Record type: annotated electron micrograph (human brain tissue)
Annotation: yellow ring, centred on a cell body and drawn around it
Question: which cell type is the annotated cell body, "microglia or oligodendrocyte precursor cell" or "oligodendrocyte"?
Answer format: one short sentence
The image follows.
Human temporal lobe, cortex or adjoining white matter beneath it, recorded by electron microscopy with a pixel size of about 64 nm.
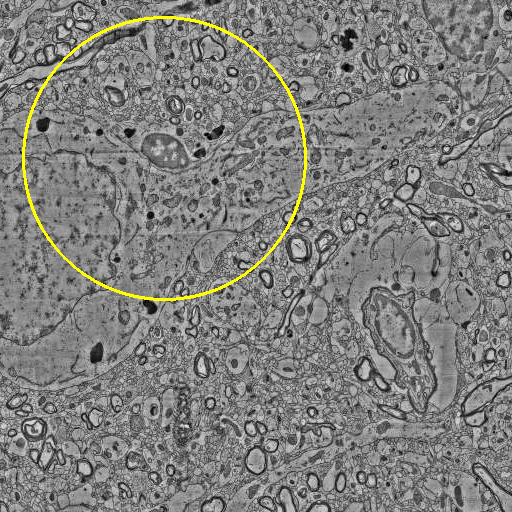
The annotated cell body is that of a microglial cell or oligodendrocyte precursor cell.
